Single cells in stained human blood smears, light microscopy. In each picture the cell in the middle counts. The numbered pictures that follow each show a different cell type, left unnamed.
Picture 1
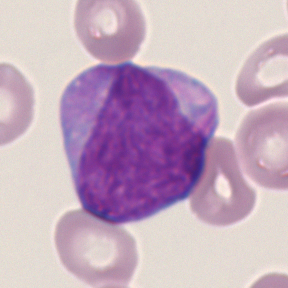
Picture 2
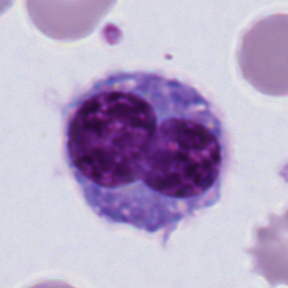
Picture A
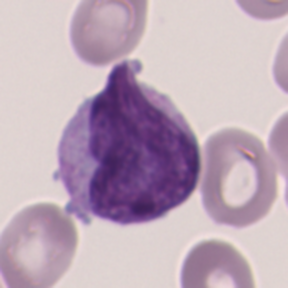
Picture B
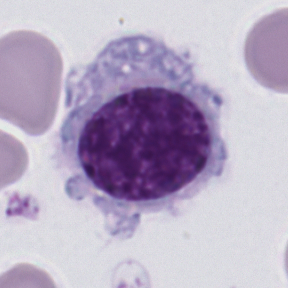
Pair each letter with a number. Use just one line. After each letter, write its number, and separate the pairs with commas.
A 1, B 2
